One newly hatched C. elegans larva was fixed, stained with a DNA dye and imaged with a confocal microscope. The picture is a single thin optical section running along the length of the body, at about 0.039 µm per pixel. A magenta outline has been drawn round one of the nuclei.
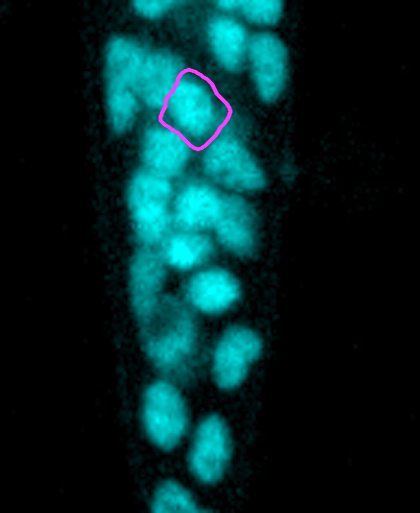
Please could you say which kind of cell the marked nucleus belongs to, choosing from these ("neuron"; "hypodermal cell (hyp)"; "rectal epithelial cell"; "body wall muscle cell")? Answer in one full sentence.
This nucleus is from a rectal epithelial cell.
